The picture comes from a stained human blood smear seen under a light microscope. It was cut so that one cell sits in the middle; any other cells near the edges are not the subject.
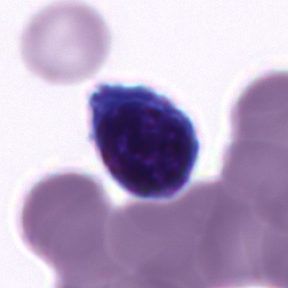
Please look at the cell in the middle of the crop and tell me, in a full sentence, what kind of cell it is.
The cell of interest, in the center, is a plasma cell.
